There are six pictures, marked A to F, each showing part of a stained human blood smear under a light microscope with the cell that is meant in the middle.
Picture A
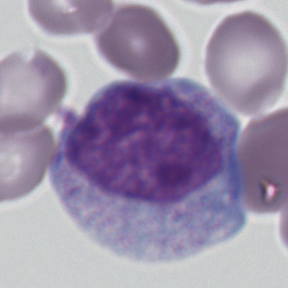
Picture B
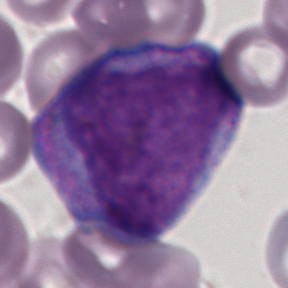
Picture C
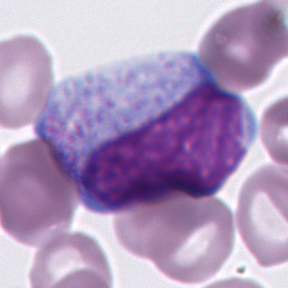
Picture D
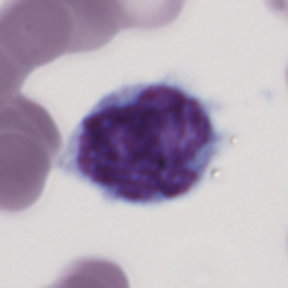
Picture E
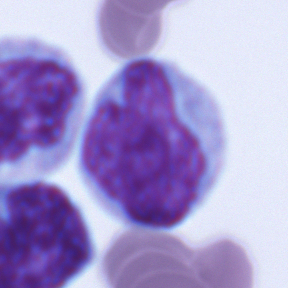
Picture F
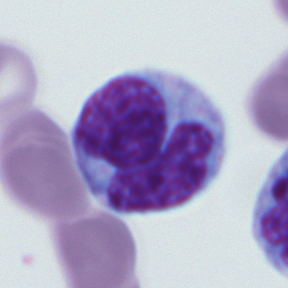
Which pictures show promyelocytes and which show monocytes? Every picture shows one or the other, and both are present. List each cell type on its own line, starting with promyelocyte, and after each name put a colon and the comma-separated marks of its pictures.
promyelocyte: A, B, C
monocyte: D, E, F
